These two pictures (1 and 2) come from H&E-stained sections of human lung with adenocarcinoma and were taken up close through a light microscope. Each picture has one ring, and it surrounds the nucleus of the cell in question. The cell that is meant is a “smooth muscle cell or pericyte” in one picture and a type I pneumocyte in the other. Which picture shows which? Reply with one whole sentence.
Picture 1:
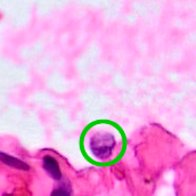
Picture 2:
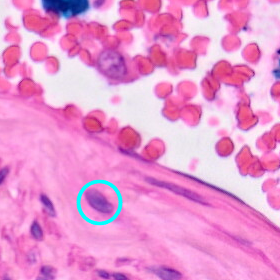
Picture 2 shows a “smooth muscle cell or pericyte”, while picture 1 shows a type I pneumocyte.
